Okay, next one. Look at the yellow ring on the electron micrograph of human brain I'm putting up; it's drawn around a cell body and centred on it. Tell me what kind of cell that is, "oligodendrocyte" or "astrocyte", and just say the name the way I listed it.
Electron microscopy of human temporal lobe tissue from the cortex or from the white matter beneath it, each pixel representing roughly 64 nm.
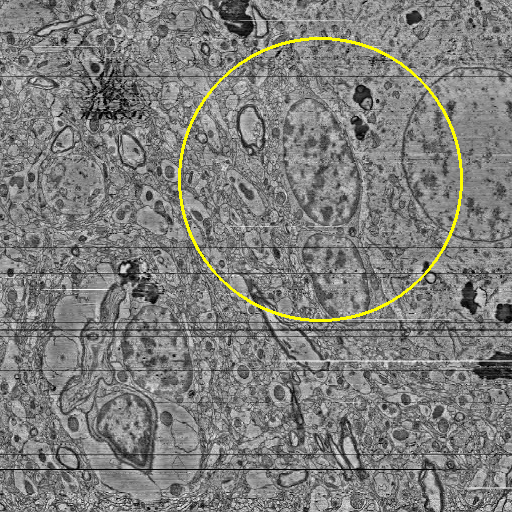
oligodendrocyte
